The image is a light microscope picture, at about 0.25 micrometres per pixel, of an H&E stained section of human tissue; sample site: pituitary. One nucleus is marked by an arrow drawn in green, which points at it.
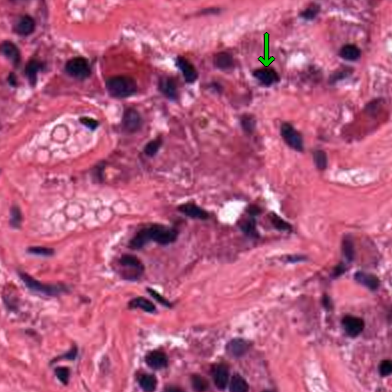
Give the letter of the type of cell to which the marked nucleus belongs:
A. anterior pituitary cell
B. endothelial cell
A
